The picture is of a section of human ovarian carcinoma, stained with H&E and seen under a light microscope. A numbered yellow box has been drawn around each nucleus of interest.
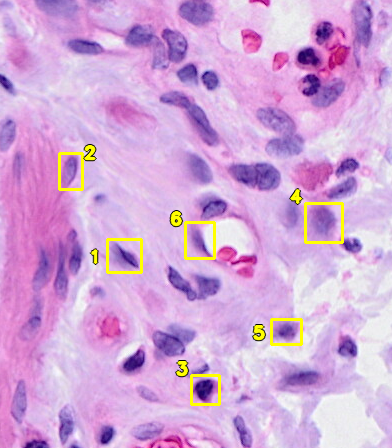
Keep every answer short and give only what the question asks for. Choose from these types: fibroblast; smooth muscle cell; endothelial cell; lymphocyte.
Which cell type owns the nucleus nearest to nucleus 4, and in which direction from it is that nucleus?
a fibroblast, to the left of nucleus 4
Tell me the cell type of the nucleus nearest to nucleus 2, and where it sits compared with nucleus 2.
a lymphocyte; below and to the right of nucleus 2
